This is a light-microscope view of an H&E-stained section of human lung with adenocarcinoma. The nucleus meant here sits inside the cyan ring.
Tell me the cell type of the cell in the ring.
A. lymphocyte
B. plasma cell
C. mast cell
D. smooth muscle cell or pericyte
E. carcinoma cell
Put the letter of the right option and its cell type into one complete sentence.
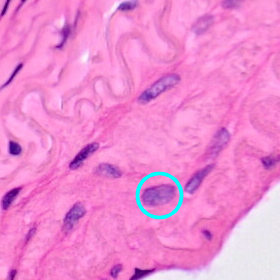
It is option D that correctly calls the cell in the ring a smooth muscle cell or pericyte.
